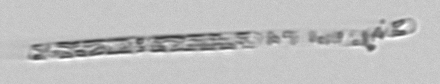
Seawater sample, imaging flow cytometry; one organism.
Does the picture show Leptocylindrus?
Yes.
